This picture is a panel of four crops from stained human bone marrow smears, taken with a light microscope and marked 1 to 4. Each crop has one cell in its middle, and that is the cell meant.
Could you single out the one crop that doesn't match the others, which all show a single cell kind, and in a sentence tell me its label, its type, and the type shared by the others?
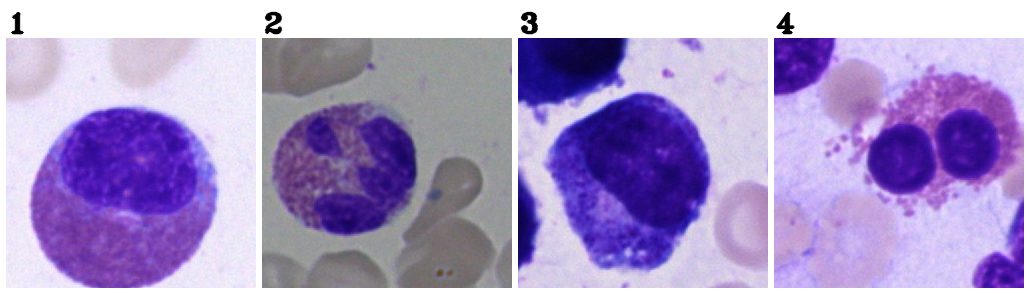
Crop 3 is the exception in this set, showing a promyelocyte while the others show eosinophils.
